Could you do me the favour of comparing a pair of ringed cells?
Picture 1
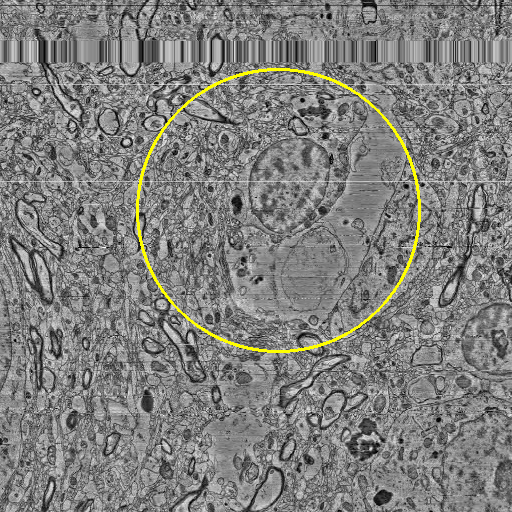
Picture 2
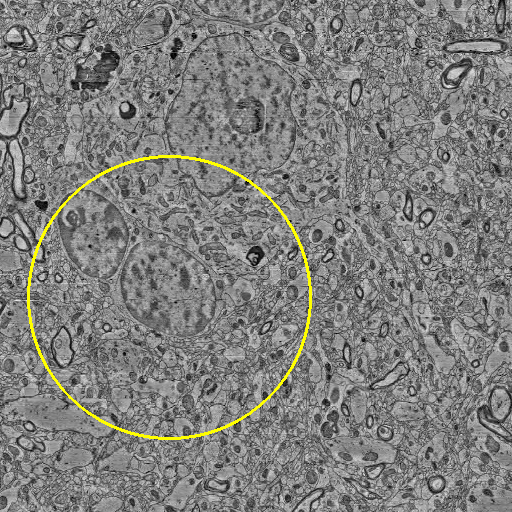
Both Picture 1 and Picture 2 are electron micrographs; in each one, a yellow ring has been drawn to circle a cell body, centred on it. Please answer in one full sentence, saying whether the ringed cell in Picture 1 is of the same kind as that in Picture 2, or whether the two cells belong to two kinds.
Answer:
The ringed cell in Picture 1 is of the same kind as that in Picture 2.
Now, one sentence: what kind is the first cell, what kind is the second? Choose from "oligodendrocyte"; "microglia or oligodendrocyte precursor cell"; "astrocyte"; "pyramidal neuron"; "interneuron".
The second cell is an oligodendrocyte, just as the first is.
